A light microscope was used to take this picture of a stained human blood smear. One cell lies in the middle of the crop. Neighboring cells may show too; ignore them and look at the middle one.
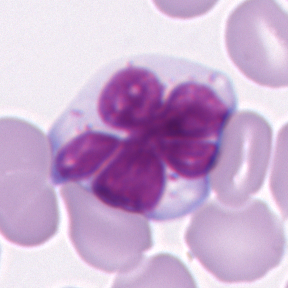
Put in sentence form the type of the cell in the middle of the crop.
The middle position in this crop is taken by a large granular lymphocyte.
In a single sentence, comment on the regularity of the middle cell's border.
Around its whole circumference the outline stays smooth, free of projections.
